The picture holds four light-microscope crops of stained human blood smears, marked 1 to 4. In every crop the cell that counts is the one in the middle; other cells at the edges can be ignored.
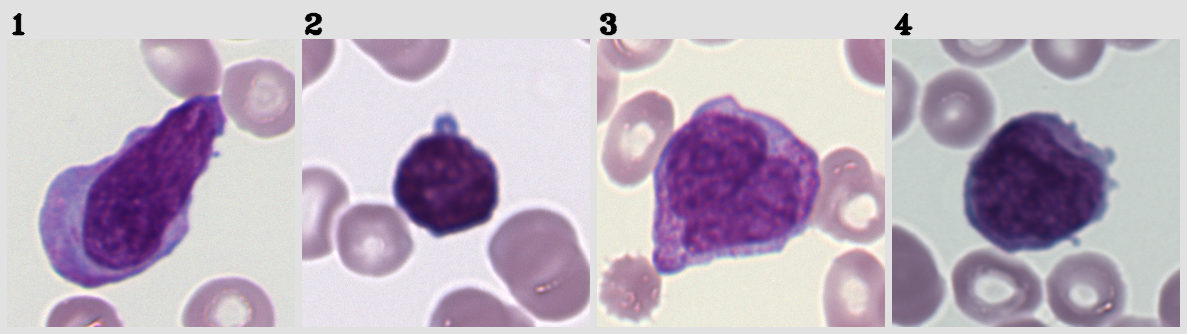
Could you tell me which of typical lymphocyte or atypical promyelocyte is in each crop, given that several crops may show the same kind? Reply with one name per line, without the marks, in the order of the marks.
atypical promyelocyte
typical lymphocyte
atypical promyelocyte
atypical promyelocyte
